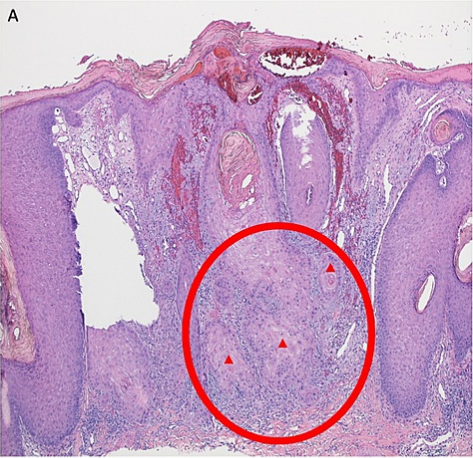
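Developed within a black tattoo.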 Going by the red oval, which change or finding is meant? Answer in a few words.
Keratinizing tumor.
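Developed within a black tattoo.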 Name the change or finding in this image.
Hyperkeratotic and acanthotic epidermis.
